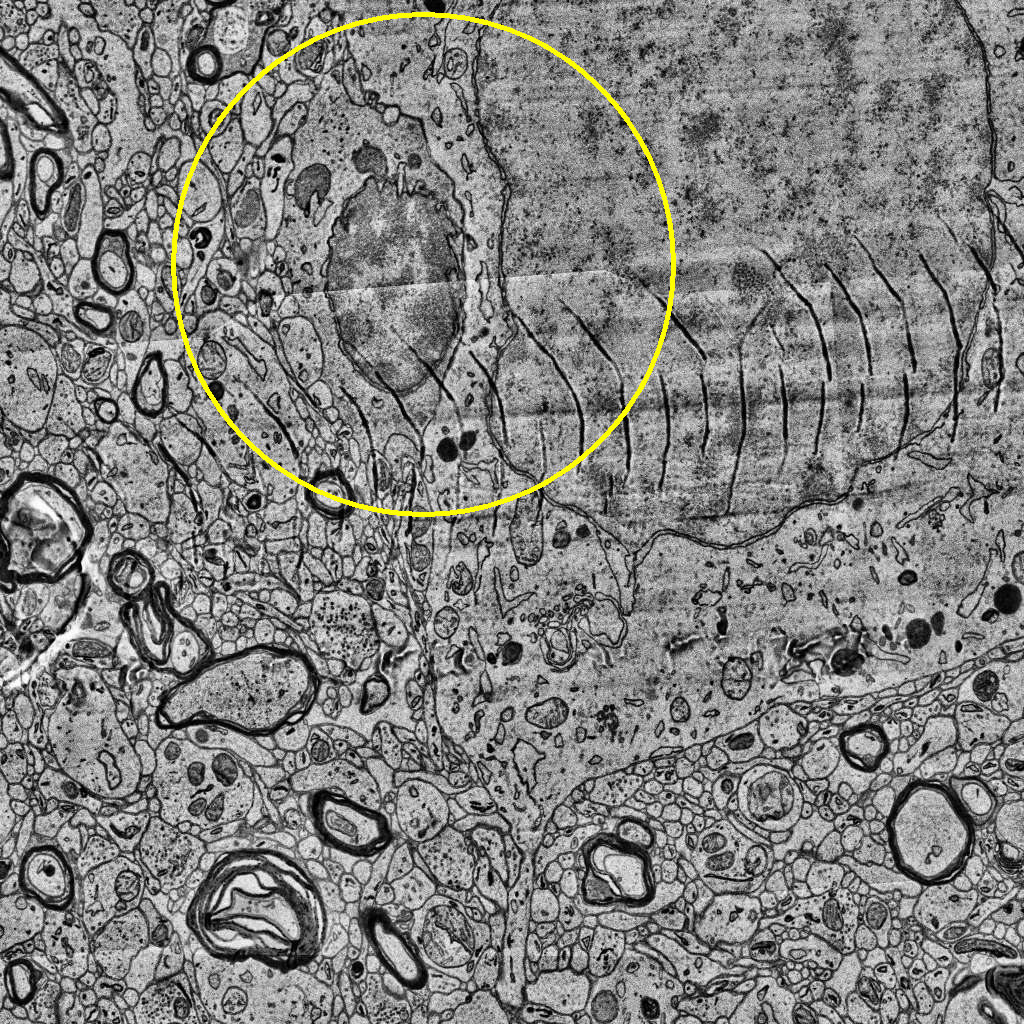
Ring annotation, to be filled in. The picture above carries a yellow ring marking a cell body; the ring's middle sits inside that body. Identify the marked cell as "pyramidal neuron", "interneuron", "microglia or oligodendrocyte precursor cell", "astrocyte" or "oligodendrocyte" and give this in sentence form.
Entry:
The cell at the middle of the ring is an oligodendrocyte.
